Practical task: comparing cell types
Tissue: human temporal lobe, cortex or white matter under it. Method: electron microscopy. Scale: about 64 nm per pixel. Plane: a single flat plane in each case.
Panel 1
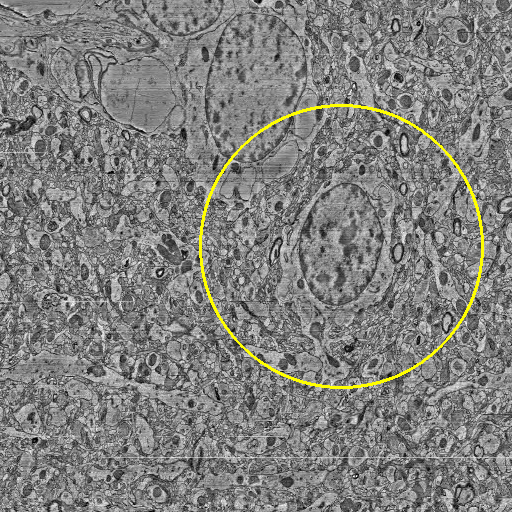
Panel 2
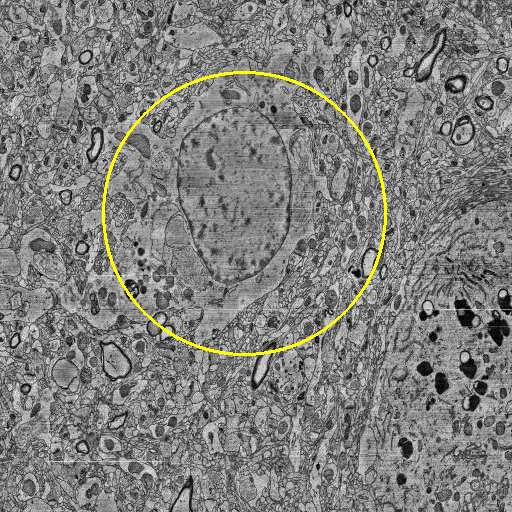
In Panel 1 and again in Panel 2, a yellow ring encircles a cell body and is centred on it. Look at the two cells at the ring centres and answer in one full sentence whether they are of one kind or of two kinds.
The two cells sitting at the ring centres of Panels 1 and 2 are of one kind.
